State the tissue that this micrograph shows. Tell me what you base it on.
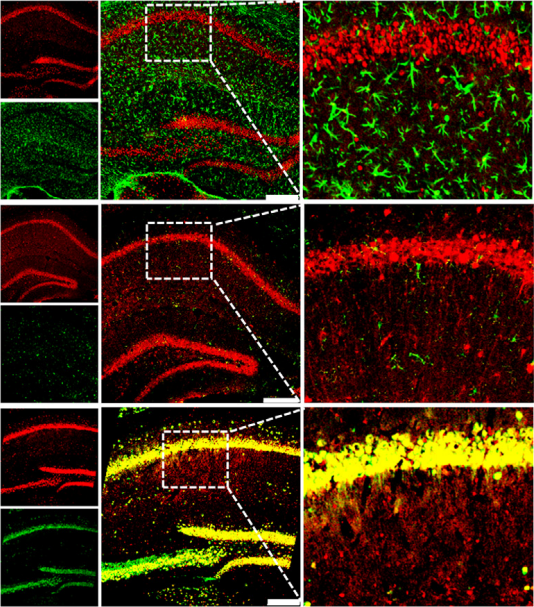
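Hippocampus. Curved bright cell bands form a C-shaped layer and a V-shaped band nested beneath it. The bands are densely packed rows of cell bodies in a less dense background.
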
